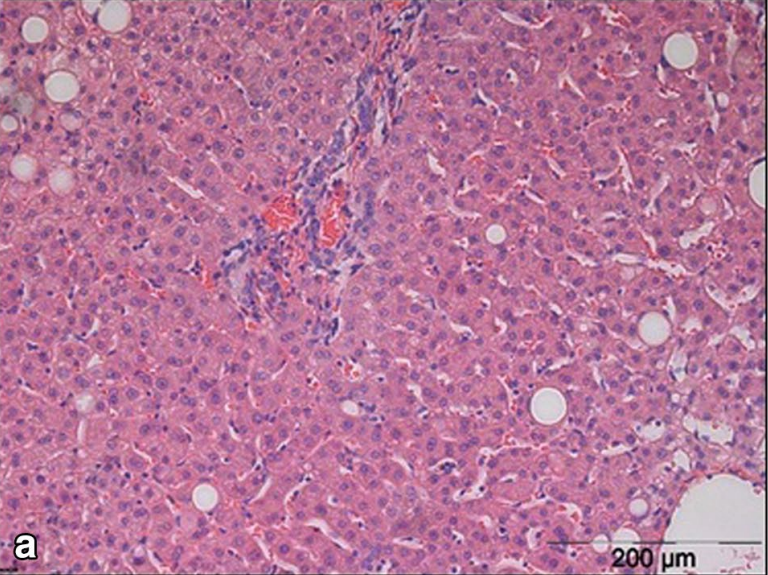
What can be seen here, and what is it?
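Liver tissue with plates of polygonal hepatocytes with pink cytoplasm and round central purple nuclei, separated by narrow sinusoids. A small portal area with vessels containing red blood cells and a cluster of dark purple nuclei crosses the centre. Only a few scattered round clear fat vacuoles are present.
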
